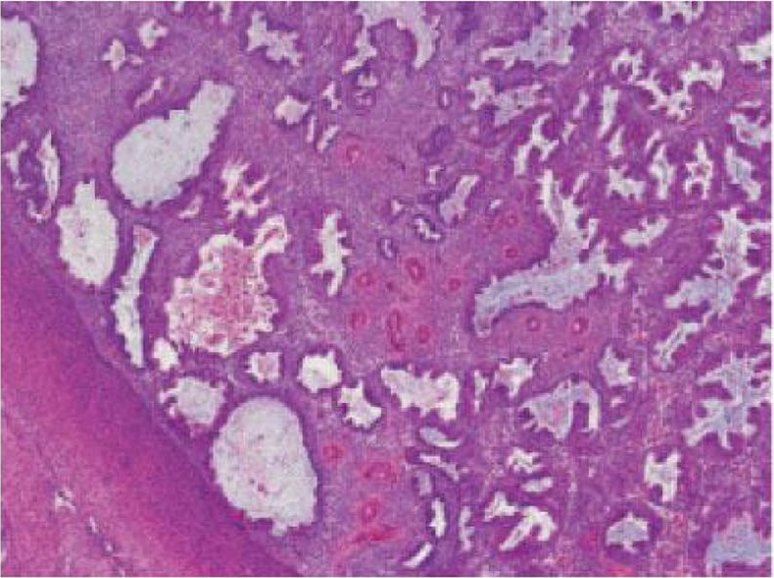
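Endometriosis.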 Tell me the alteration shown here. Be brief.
Hyperplastic endometrial glands.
